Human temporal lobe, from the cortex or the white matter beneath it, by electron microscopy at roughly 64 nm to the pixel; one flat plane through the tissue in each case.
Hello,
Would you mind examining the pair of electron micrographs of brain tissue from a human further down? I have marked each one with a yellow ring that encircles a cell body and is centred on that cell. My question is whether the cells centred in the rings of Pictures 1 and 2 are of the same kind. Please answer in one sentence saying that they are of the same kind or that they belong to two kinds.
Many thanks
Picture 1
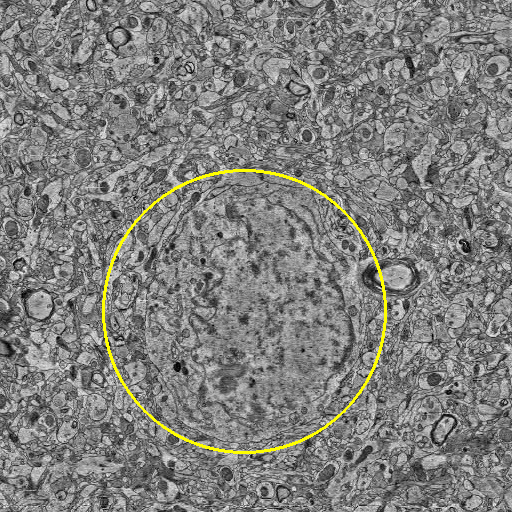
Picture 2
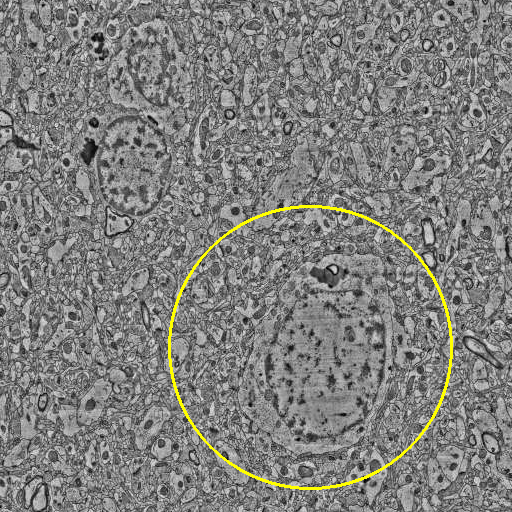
In Pictures 1 and 2, the cells at the heart of the rings are of the same kind.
